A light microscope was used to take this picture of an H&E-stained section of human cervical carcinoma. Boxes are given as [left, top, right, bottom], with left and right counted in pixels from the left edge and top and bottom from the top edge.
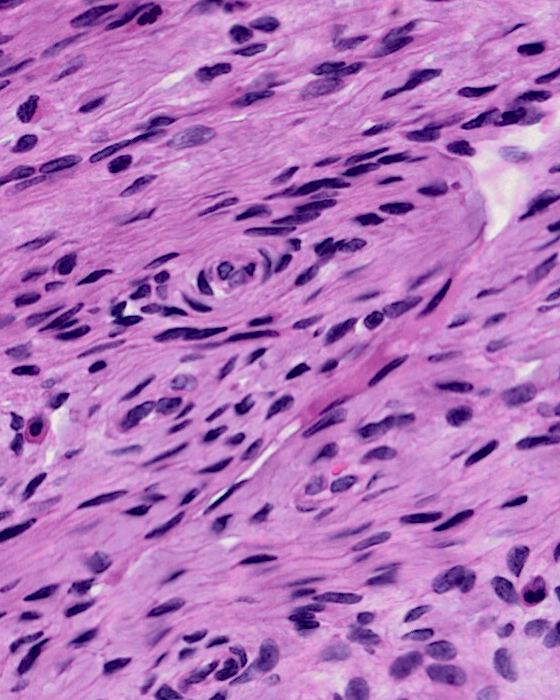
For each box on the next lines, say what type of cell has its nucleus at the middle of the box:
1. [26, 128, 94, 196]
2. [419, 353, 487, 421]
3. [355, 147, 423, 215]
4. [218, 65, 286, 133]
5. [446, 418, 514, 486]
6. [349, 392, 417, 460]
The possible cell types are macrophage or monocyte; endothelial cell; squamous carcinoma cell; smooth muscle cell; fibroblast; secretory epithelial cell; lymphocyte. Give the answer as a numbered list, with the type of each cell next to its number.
1. endothelial cell
2. fibroblast
3. fibroblast
4. endothelial cell
5. fibroblast
6. fibroblast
